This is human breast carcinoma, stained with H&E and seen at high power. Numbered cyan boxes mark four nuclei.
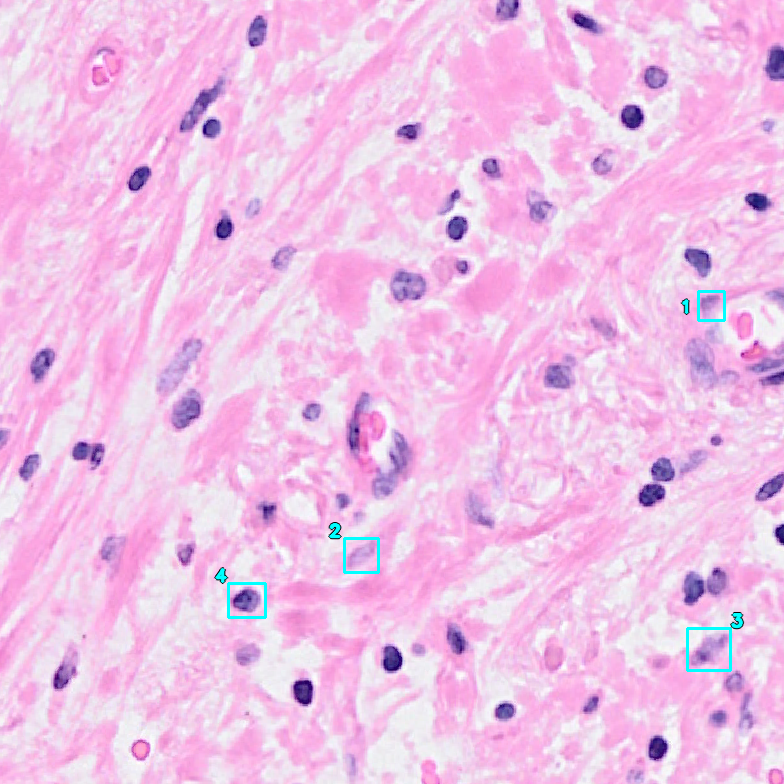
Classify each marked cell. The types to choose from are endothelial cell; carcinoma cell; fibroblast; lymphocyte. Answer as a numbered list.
1. endothelial cell
2. fibroblast
3. fibroblast
4. lymphocyte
